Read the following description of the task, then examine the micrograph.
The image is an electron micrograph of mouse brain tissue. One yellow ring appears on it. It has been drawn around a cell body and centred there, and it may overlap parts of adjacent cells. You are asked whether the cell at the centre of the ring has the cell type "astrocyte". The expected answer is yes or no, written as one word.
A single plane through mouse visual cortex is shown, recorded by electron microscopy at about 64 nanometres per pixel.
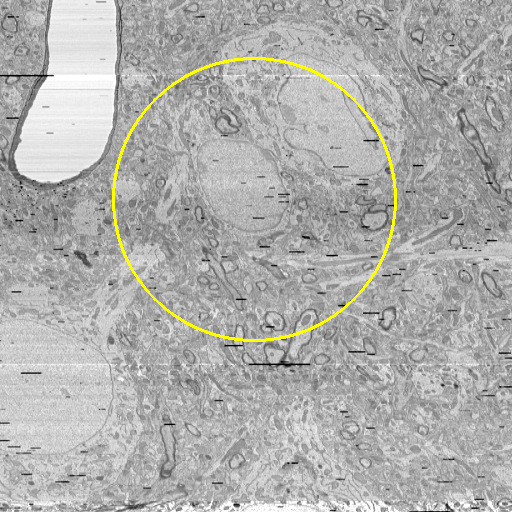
yes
